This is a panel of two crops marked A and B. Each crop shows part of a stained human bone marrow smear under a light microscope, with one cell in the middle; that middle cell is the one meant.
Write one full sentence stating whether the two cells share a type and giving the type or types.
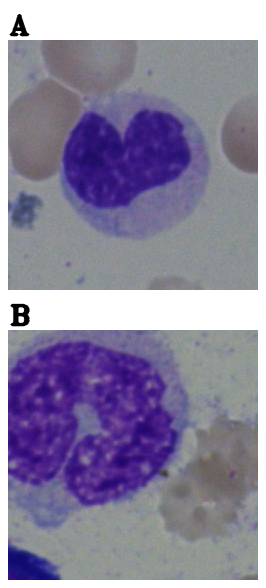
No, crop B holds a monocyte, while crop A holds a metamyelocyte.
